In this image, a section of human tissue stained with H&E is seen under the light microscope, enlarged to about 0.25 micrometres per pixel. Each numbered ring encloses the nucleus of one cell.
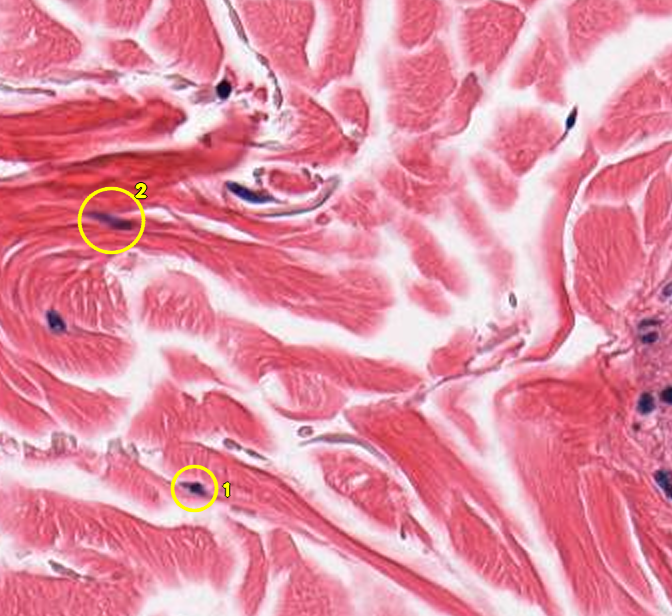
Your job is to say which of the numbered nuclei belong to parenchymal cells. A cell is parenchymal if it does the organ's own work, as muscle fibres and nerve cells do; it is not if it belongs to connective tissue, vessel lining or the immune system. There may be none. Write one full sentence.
None of the numbered nuclei belongs to a parenchymal cell.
